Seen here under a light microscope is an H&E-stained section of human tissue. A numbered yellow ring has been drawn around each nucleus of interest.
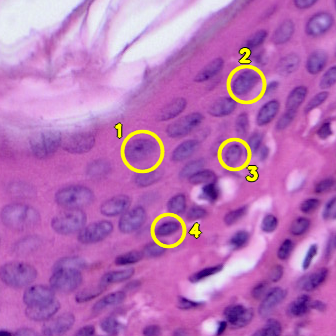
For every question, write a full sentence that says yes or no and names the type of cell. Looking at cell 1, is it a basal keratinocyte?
No, number 1 marks a suprabasal keratinocyte rather than a basal keratinocyte.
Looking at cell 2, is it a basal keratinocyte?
No, cell 2 is not a basal keratinocyte: it is a suprabasal keratinocyte.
